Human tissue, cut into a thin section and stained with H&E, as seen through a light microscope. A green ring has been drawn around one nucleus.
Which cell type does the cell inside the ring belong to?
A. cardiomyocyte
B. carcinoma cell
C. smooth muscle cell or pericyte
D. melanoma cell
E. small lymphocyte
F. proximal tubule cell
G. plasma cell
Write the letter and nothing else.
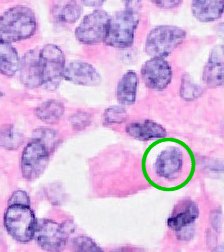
B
